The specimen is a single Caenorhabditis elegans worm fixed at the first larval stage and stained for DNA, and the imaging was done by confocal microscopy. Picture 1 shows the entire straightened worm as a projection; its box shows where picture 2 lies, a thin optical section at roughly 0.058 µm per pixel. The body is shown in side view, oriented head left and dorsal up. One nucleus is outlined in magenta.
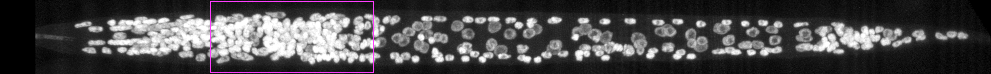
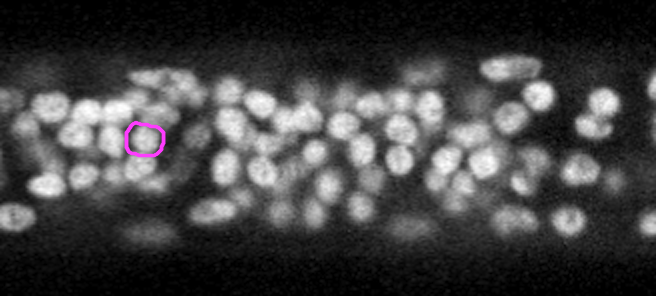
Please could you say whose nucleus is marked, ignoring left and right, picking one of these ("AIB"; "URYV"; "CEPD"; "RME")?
RME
